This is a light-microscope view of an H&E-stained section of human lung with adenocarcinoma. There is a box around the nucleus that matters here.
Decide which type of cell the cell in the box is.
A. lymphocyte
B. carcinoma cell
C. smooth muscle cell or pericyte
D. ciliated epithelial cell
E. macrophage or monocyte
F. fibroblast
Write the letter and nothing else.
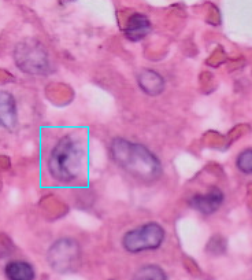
E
